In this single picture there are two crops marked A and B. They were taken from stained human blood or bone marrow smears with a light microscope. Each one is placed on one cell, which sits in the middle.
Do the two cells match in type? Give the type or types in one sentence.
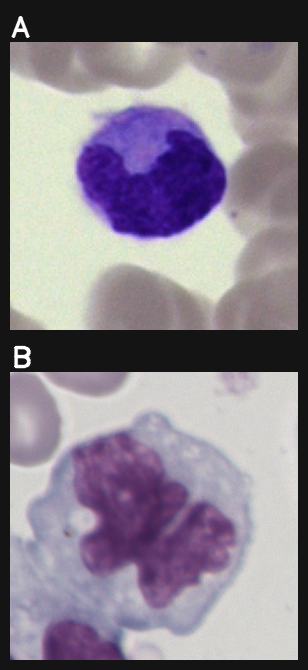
Yes, the central cells in both of the crops are monocytes.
